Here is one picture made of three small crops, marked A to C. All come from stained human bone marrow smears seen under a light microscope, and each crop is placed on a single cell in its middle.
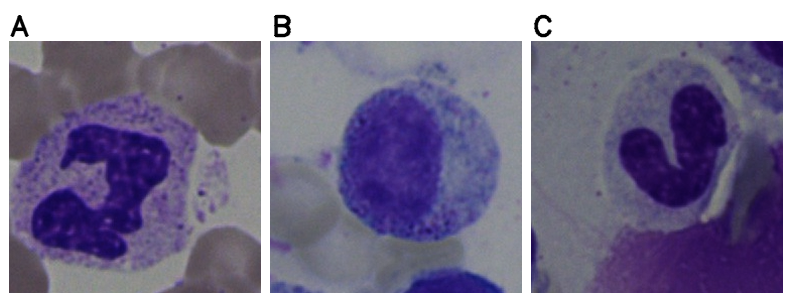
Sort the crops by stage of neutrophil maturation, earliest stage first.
B, C, A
